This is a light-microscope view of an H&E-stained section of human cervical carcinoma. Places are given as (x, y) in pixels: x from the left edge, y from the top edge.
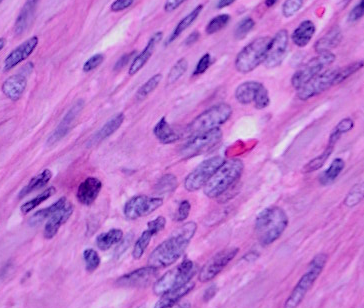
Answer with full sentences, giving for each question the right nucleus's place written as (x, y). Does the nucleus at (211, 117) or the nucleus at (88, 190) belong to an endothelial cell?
The nucleus at (211, 117) is part of an endothelial cell, while the other is not.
